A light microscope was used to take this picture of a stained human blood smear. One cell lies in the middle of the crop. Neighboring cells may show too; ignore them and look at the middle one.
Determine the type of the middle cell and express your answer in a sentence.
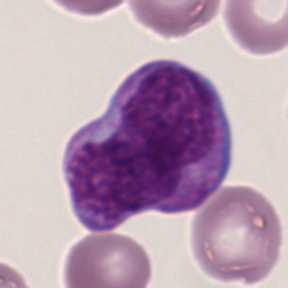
At the crop's centre, the cell is an atypical promyelocyte.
